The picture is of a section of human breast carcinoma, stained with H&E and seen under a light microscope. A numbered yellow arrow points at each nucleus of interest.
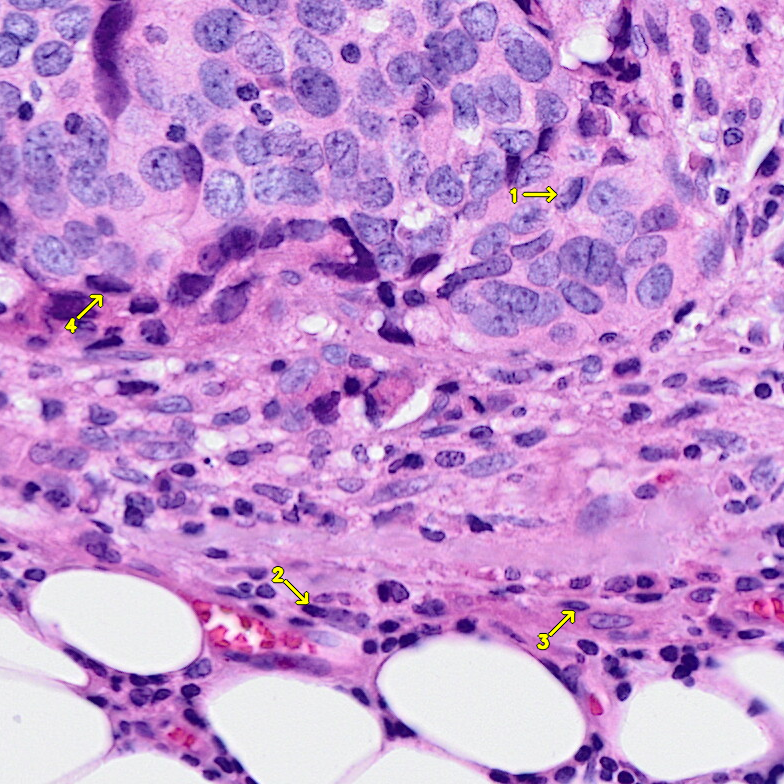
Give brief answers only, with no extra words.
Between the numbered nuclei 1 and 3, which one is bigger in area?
1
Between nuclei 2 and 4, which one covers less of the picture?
2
